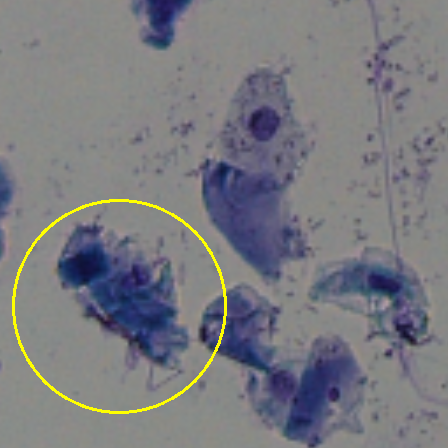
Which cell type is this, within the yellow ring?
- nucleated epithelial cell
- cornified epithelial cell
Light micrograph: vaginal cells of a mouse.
Within the ring is a cornified epithelial cell.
